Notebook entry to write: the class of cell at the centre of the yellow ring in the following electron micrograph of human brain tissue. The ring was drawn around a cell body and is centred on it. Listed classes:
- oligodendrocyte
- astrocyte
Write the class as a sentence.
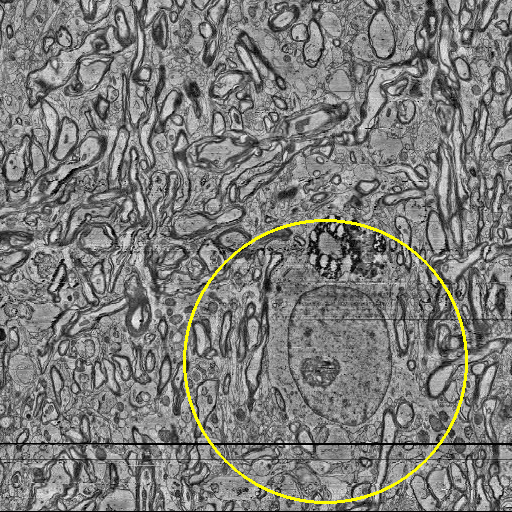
The yellow ring sits on an astrocyte.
